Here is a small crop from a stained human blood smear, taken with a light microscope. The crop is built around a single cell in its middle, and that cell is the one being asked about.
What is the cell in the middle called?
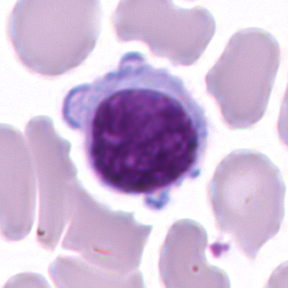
plasma cell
